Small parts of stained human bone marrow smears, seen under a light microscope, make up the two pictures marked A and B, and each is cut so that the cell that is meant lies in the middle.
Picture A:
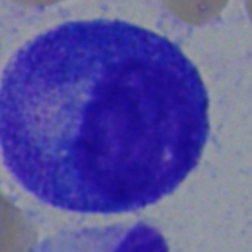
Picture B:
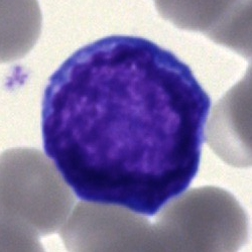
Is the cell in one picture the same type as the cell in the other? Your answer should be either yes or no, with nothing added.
no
